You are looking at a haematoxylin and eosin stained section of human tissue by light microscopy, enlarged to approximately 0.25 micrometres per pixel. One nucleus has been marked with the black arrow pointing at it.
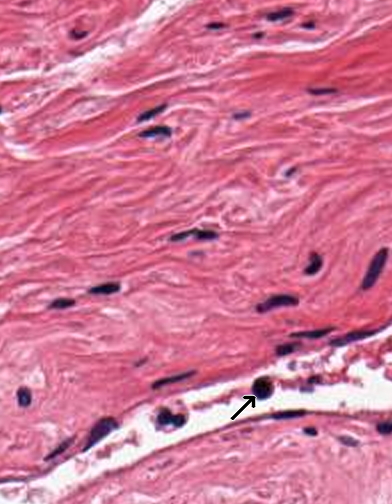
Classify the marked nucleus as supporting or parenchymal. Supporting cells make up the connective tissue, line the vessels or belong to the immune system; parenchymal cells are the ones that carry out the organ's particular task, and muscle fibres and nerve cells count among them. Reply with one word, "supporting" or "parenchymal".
supporting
